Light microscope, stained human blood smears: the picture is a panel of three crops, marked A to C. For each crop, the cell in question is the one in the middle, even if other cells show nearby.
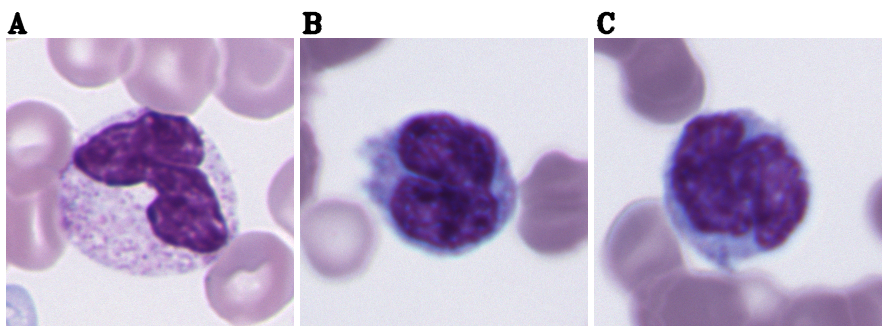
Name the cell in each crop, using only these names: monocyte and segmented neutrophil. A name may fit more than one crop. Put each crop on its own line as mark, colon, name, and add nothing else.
A: segmented neutrophil
B: monocyte
C: monocyte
